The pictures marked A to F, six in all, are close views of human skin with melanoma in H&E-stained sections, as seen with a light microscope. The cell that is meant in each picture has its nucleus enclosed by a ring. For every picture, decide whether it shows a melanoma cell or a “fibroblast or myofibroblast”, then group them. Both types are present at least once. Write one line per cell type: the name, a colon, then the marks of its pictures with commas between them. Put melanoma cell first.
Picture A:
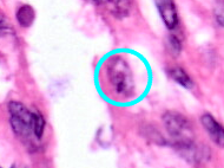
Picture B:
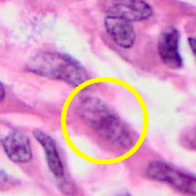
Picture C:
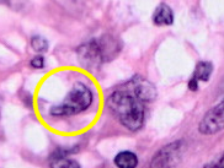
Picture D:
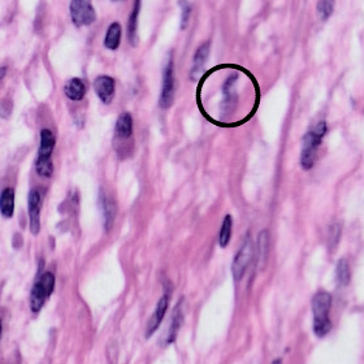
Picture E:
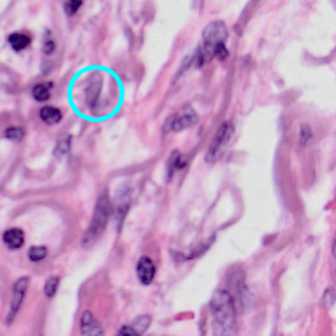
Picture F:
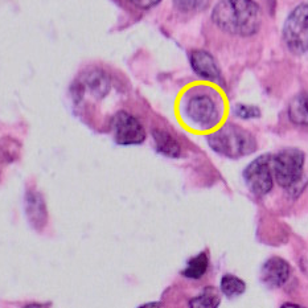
melanoma cell: A, B, C, F
fibroblast or myofibroblast: D, E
